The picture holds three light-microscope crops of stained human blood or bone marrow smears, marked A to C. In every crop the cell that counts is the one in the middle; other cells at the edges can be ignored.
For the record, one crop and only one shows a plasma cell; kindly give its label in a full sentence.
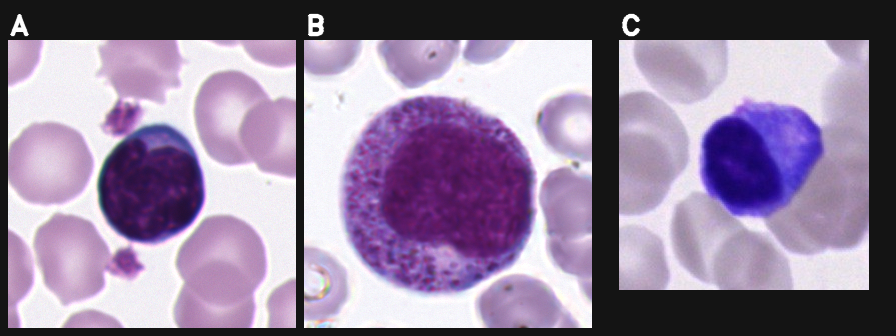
Of the labeled crops, the one with a plasma cell is crop C.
